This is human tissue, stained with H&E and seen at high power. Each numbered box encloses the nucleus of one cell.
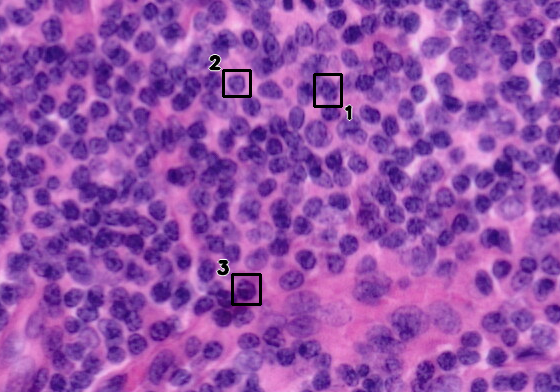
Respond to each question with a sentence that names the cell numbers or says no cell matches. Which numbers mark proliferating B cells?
Any proliferating B cells present in the section are not among the numbered cells.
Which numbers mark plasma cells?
Cell 3 is the only numbered cell that is a plasma cell.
